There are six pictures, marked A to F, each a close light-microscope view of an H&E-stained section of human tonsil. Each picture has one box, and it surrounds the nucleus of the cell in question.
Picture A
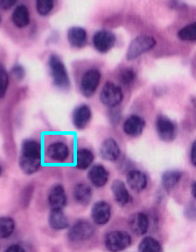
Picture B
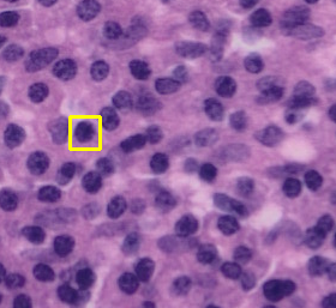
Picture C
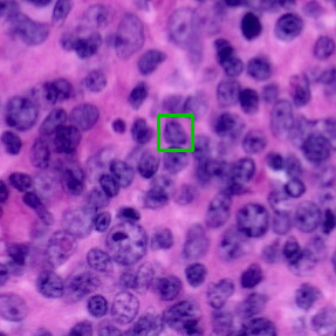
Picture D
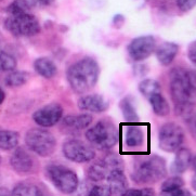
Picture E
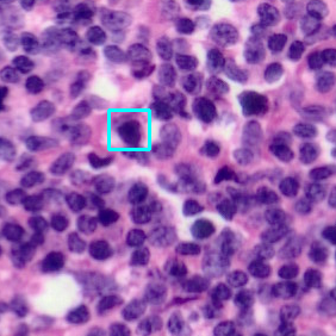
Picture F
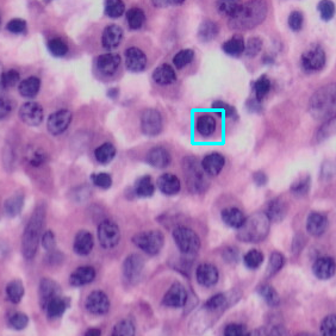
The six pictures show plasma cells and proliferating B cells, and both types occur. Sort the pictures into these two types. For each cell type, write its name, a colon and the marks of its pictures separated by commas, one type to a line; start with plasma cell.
plasma cell: A, B, F
proliferating B cell: C, D, E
